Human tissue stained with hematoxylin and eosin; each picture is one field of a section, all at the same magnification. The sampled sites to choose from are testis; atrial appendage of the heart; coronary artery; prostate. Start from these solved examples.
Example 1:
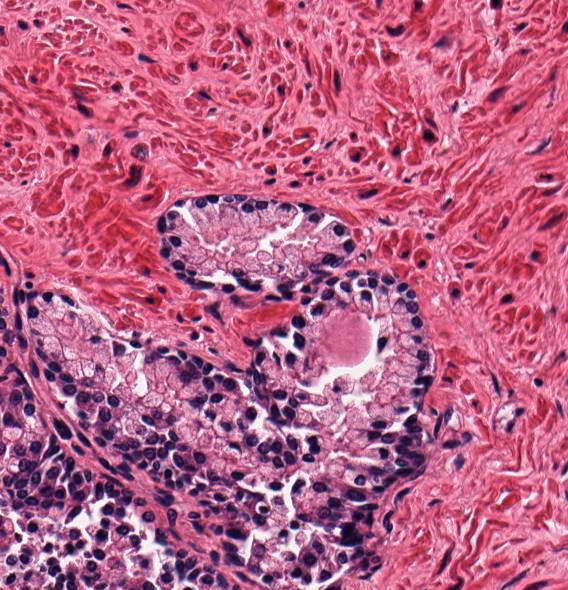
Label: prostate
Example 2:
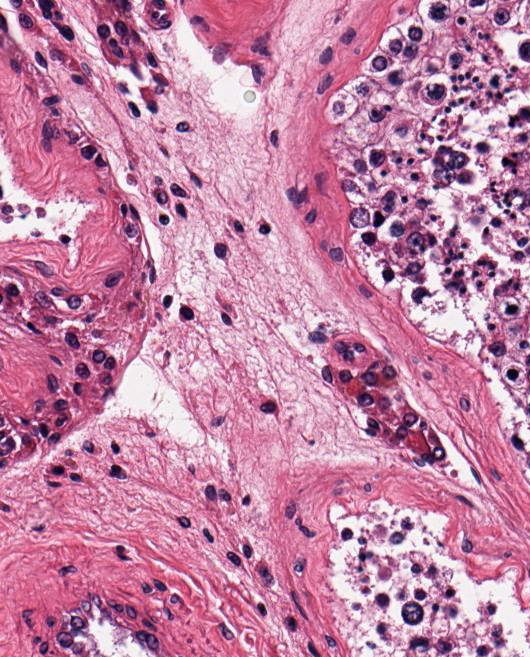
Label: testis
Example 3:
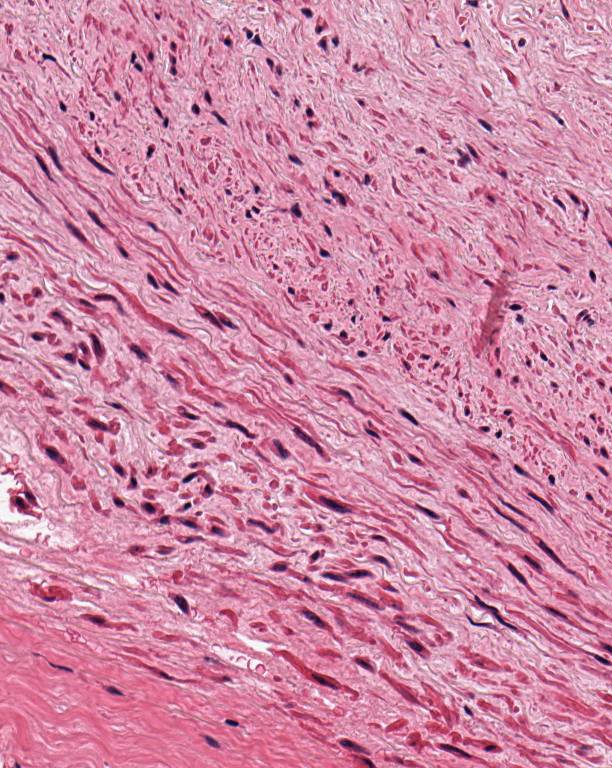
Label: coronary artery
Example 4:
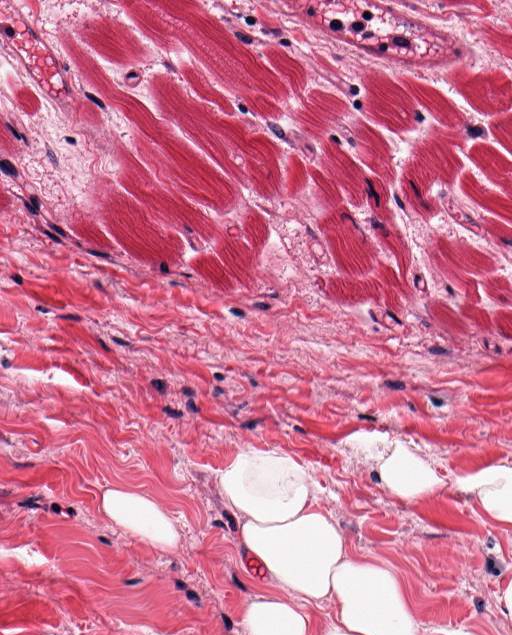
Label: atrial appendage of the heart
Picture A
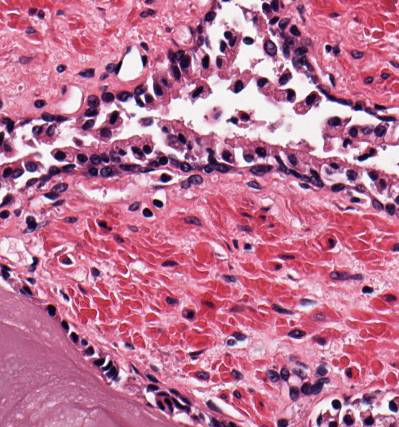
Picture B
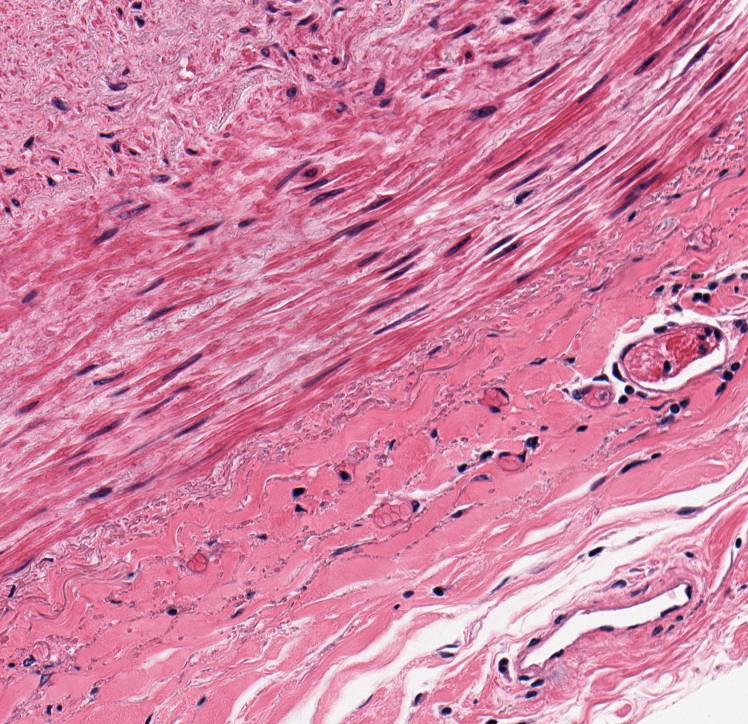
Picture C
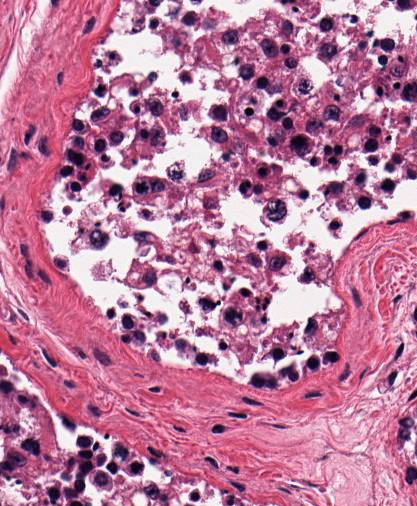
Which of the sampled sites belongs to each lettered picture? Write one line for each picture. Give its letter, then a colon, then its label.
A: prostate
B: coronary artery
C: testis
